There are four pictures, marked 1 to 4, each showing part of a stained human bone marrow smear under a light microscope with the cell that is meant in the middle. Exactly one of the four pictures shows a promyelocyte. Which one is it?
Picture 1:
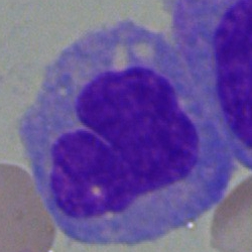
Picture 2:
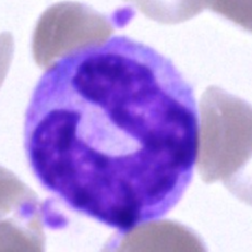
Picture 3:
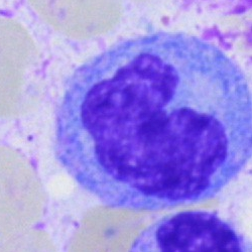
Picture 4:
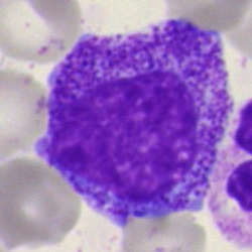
4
